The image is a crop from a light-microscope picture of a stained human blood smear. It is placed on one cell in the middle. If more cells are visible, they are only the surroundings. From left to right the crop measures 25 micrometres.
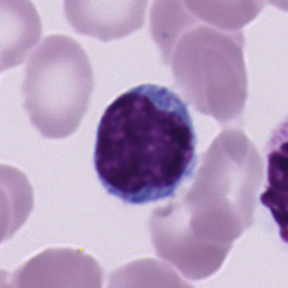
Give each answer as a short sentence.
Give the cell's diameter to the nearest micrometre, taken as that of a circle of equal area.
The diameter of the cell comes to about 10 micrometres.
